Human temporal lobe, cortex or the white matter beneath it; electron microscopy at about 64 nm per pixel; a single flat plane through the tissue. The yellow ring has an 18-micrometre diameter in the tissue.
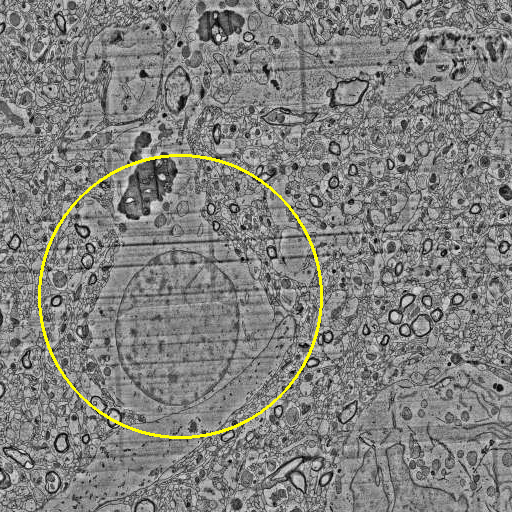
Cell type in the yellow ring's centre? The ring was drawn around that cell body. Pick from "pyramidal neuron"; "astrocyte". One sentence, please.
The ringed cell body is that of an astrocyte.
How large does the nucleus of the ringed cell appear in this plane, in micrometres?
In this plane the nucleus measures roughly 10 by 8 micrometers.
